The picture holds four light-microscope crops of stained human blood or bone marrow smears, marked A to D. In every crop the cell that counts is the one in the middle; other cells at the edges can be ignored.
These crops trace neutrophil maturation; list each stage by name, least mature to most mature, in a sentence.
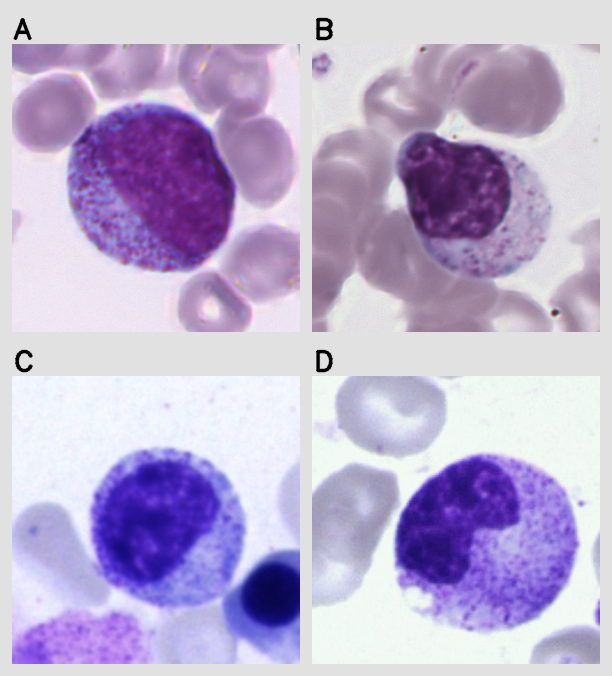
The crops, when placed from least to most mature, read crop A (a promyelocyte), crop C (a myelocyte), crop B (a metamyelocyte) and crop D (a band neutrophil).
